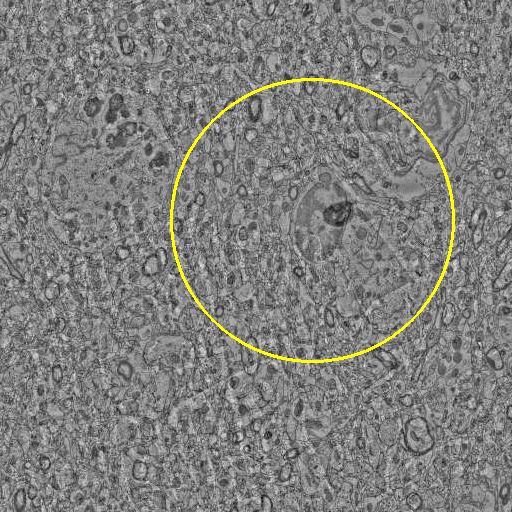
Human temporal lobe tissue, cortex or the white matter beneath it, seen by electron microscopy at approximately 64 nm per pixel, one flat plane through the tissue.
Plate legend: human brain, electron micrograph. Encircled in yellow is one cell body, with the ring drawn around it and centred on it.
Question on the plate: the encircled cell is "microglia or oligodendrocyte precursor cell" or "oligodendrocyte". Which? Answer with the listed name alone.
oligodendrocyte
